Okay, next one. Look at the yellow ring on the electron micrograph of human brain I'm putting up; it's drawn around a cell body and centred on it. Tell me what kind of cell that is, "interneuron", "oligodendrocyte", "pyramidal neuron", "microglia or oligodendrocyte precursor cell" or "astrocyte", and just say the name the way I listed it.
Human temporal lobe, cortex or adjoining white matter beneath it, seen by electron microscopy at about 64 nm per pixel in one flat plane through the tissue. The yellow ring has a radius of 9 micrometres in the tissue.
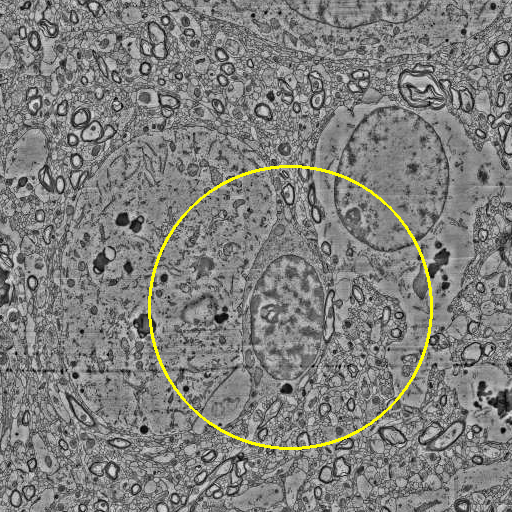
oligodendrocyte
